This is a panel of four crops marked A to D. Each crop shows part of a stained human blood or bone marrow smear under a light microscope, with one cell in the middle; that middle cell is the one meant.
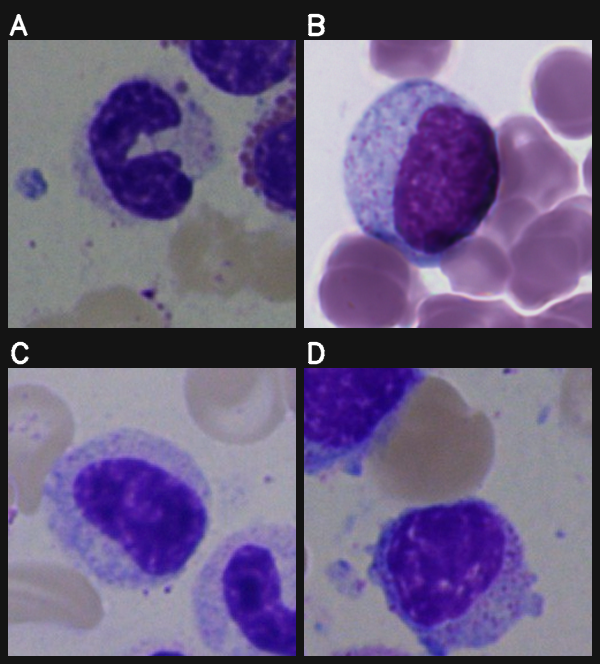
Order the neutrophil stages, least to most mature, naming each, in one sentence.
From the least mature to the most mature, the order reads crop B (a promyelocyte), crop D (a myelocyte), crop C (a metamyelocyte) and crop A (a band neutrophil).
